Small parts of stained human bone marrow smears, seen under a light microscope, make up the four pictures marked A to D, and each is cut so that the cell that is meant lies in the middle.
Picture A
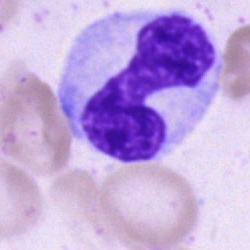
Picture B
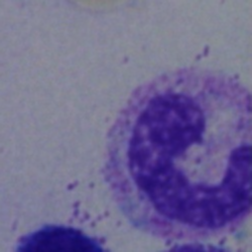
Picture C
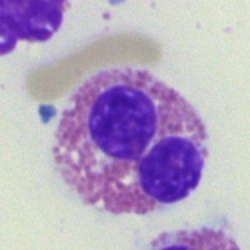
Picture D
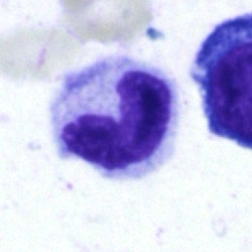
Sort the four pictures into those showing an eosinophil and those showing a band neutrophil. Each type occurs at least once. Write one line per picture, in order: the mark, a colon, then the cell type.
A: band neutrophil
B: band neutrophil
C: eosinophil
D: band neutrophil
